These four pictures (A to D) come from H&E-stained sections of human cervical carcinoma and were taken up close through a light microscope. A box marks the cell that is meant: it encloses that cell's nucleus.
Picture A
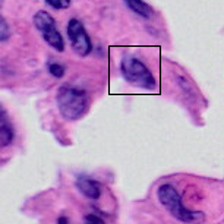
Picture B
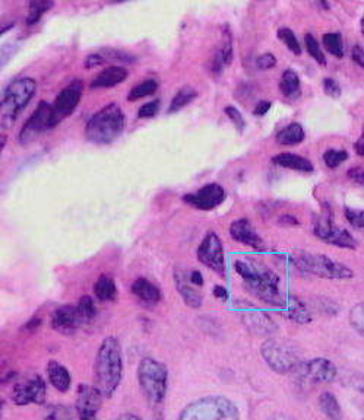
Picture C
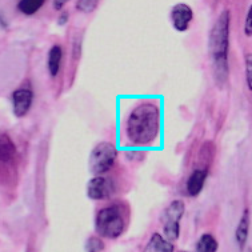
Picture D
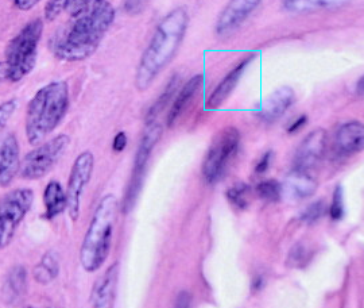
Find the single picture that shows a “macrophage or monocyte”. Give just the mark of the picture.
C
